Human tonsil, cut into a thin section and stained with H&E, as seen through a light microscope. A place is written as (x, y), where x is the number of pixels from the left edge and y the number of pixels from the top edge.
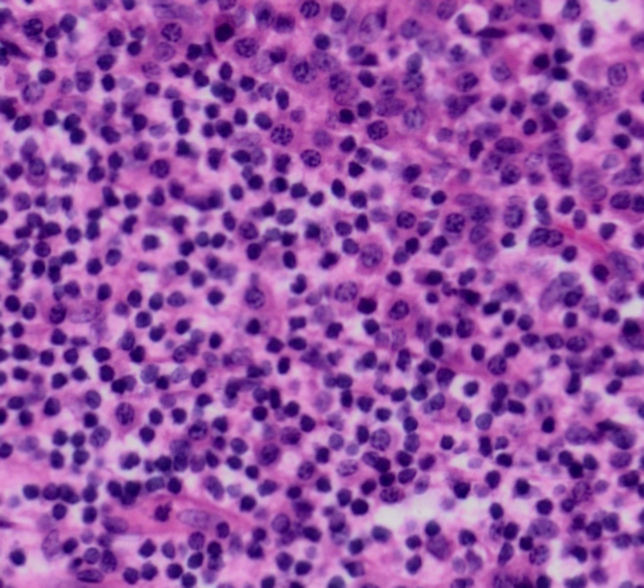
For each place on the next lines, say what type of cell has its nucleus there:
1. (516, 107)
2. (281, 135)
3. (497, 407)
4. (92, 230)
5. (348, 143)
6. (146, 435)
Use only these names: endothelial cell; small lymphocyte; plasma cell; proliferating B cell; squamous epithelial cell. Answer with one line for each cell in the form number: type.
1: plasma cell
2: plasma cell
3: small lymphocyte
4: small lymphocyte
5: plasma cell
6: small lymphocyte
